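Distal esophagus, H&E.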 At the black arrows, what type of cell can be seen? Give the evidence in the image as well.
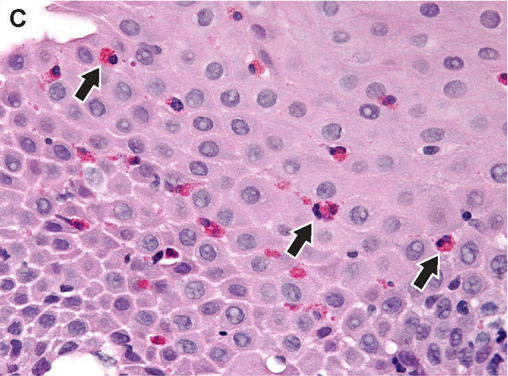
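Eosinophils. Arrowed cells have bright red-orange granular cytoplasm. Arrowed cells lie scattered between squamous epithelial cells. Their nuclei are small and dark.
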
